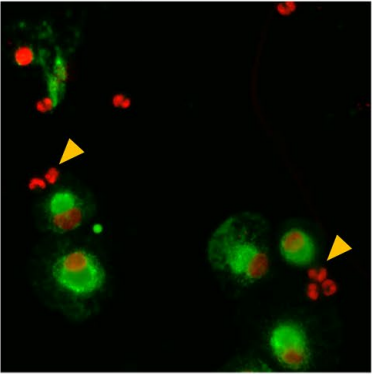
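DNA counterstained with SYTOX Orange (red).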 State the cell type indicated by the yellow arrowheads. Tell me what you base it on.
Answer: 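Small cells with red nuclei split into several lobes. They lack green cytoplasm. They lie beside larger green-stained cells.
Multilobulated granulocytes.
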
